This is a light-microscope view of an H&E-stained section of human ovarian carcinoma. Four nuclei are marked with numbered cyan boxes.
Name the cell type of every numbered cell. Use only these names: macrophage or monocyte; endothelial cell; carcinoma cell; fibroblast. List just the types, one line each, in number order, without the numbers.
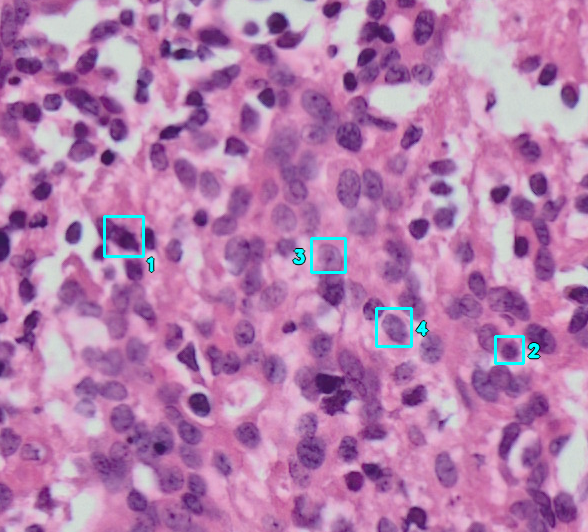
carcinoma cell
carcinoma cell
carcinoma cell
macrophage or monocyte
